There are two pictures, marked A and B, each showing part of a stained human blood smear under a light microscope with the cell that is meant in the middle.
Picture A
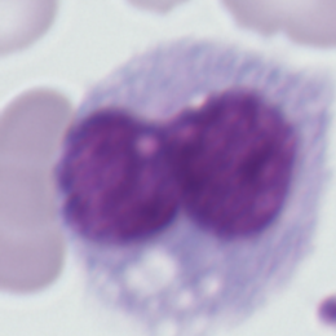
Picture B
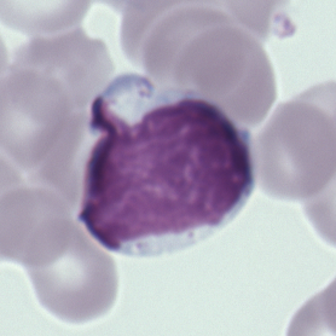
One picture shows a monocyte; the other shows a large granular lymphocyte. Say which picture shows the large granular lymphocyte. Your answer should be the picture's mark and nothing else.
B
